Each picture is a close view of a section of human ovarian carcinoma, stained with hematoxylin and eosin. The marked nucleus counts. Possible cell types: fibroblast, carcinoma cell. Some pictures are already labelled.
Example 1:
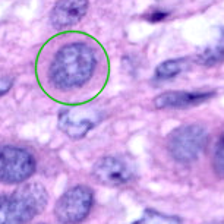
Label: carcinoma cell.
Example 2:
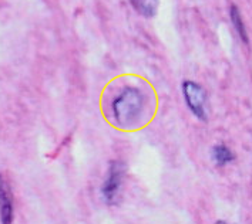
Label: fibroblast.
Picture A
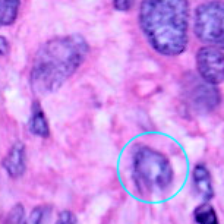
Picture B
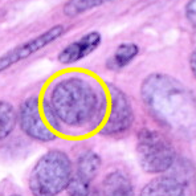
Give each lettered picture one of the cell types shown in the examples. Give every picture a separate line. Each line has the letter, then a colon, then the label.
A: fibroblast.
B: carcinoma cell.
